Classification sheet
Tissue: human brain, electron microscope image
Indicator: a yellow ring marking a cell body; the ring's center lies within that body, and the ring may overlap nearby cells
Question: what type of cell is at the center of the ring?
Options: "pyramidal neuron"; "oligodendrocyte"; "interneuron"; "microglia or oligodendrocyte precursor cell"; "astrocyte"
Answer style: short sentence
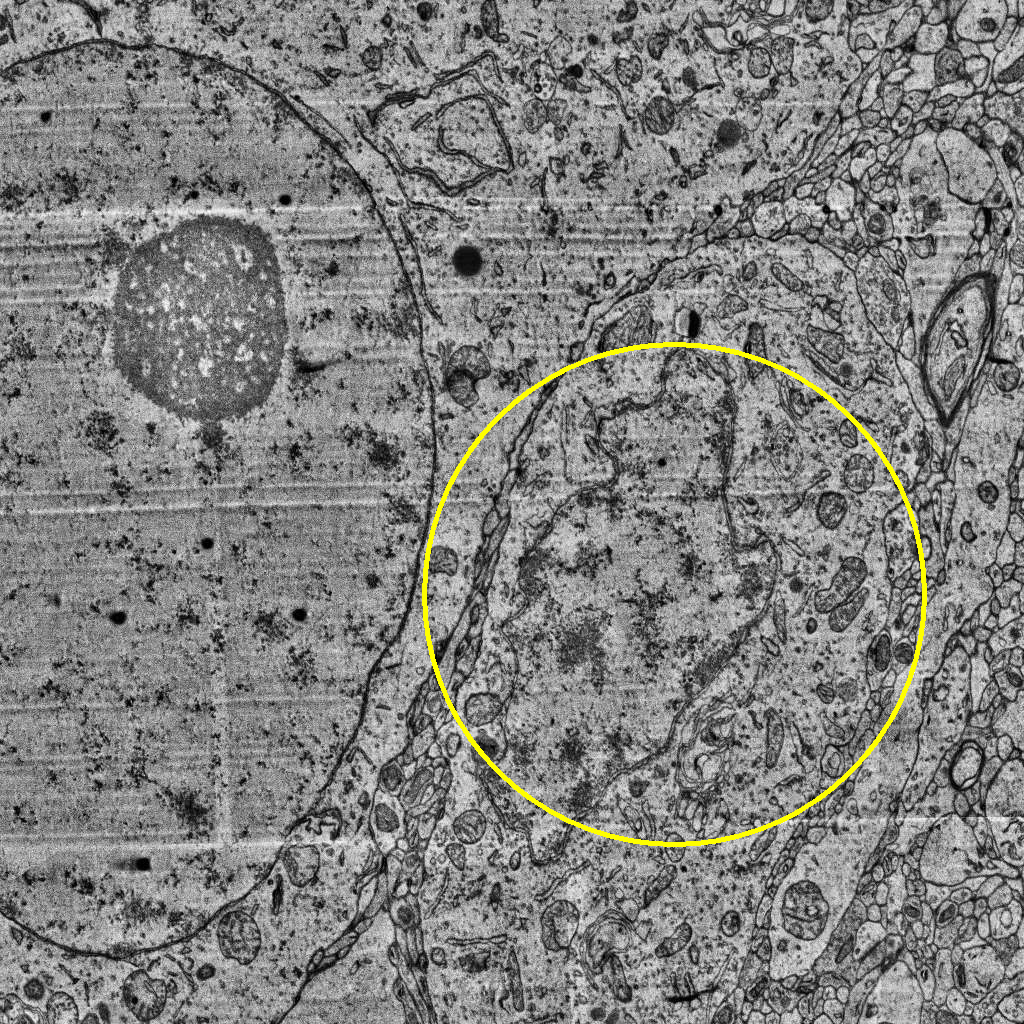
At the ring's center is an interneuron.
